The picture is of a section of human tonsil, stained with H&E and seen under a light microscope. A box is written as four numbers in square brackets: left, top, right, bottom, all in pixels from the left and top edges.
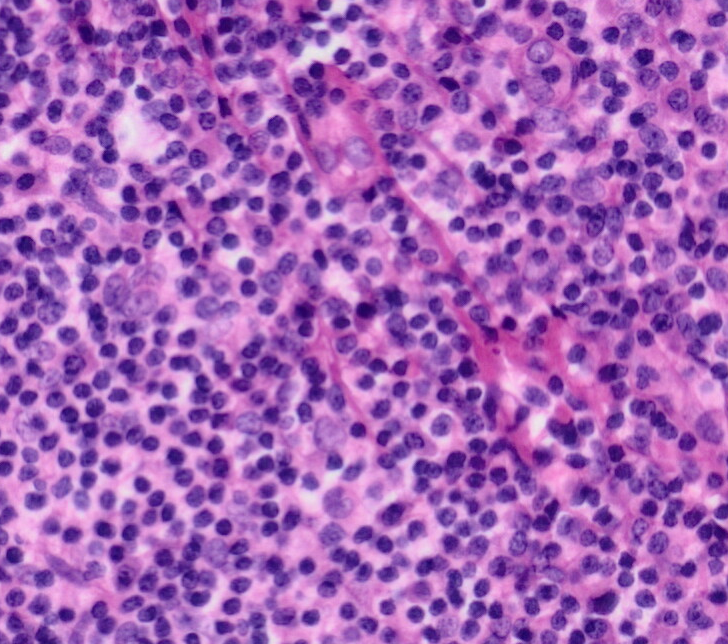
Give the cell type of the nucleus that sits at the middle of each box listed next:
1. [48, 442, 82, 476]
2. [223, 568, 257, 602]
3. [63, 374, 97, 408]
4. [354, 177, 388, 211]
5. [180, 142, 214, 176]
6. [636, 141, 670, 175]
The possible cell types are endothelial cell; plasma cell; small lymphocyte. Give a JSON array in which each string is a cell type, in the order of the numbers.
["small lymphocyte", "small lymphocyte", "small lymphocyte", "endothelial cell", "plasma cell", "small lymphocyte"]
